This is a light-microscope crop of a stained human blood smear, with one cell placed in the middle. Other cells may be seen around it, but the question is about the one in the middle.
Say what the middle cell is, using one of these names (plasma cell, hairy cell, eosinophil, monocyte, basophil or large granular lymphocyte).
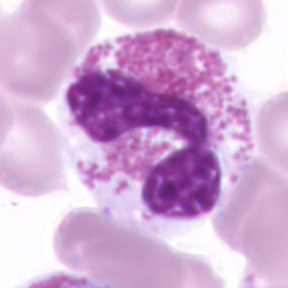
eosinophil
